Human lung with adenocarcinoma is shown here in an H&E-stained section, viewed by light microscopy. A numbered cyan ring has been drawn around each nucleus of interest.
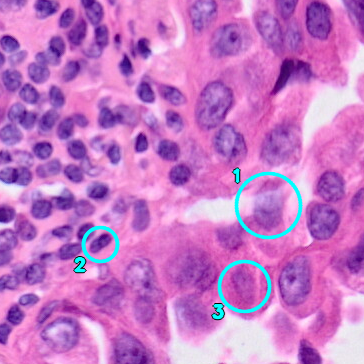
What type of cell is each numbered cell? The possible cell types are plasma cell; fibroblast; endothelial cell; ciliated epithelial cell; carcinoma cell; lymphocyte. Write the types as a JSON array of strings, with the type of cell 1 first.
["carcinoma cell", "lymphocyte", "carcinoma cell"]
